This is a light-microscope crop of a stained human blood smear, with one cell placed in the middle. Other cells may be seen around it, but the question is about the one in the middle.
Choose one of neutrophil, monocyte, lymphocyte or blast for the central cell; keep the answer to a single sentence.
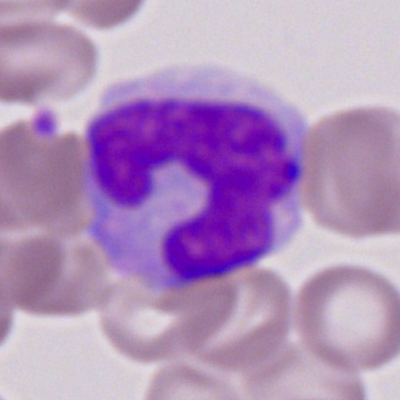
The middle position in this crop is taken by a monocyte.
